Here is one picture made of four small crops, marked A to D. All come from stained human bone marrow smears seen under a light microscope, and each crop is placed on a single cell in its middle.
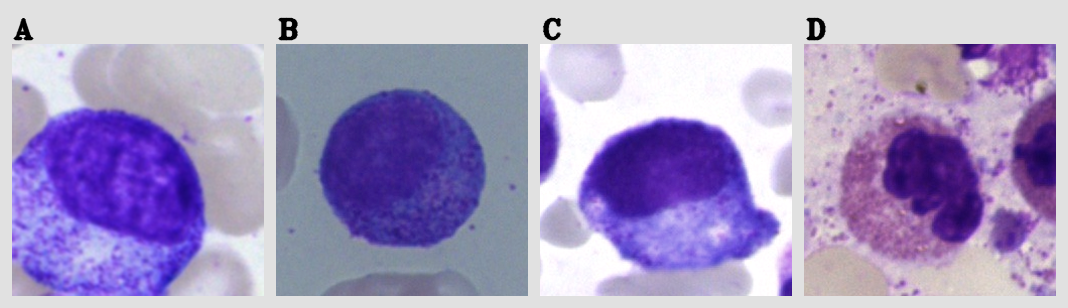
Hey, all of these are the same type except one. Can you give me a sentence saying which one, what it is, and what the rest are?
Crop D is the odd one out, being an eosinophil, while all the other crops show promyelocytes.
